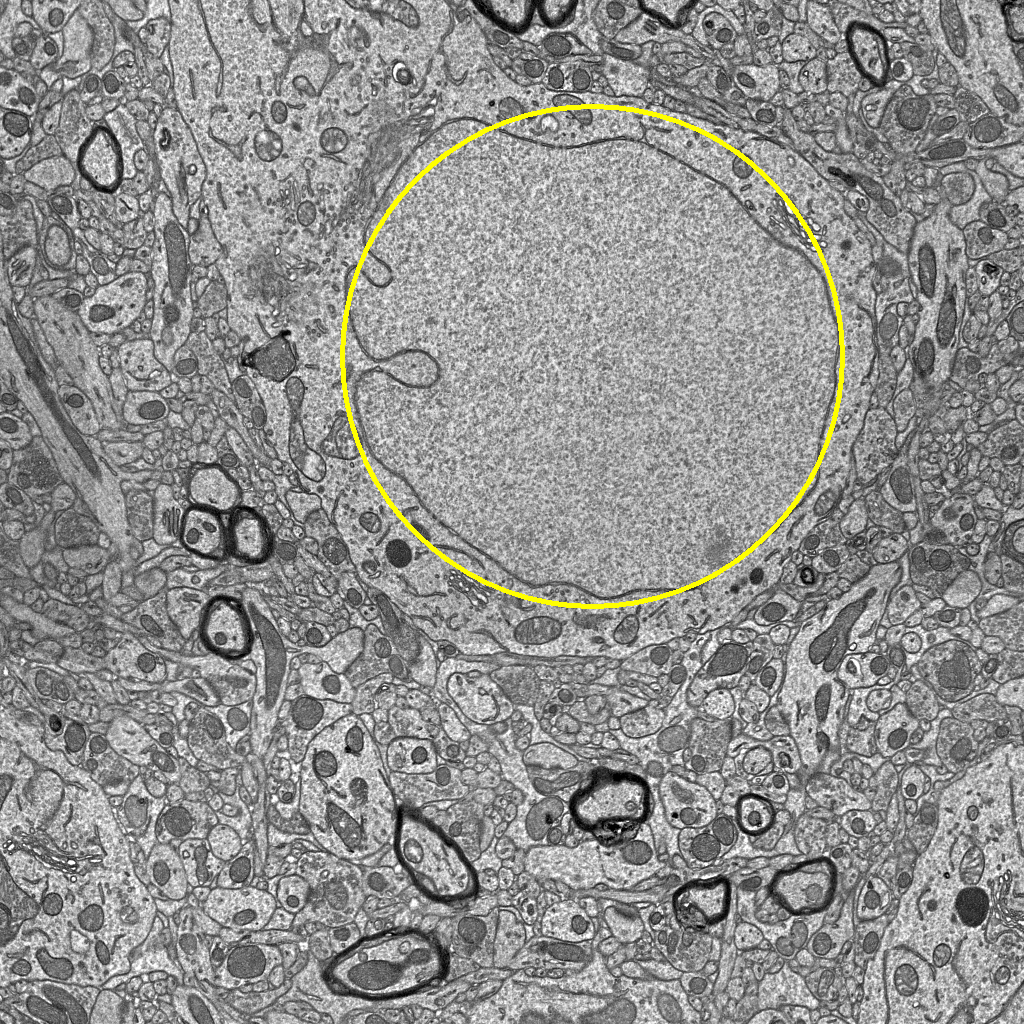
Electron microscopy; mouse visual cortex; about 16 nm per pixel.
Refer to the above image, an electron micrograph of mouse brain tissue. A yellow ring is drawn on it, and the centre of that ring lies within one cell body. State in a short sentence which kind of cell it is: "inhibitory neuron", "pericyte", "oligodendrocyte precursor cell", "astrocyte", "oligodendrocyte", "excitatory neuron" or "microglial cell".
The centre of the ring falls on an excitatory neuron.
